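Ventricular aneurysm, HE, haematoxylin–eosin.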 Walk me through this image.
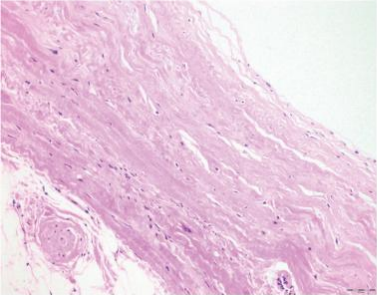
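Nuclei are few, small and elongated, scattered singly among the fibres. No orderly rows of muscle cells are to be seen. A small round vessel with a concentric wall lies at the lower left corner. Inflammatory cells are scarce.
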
